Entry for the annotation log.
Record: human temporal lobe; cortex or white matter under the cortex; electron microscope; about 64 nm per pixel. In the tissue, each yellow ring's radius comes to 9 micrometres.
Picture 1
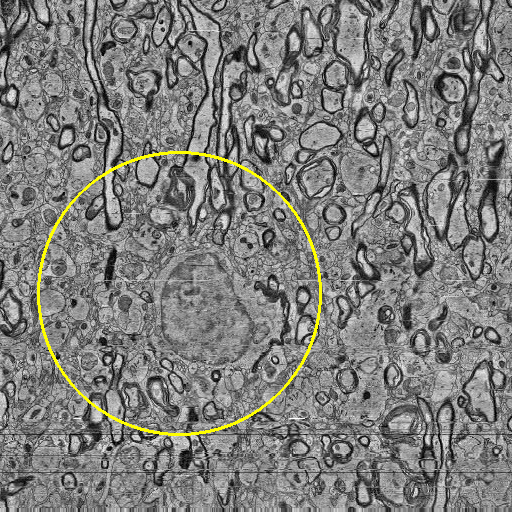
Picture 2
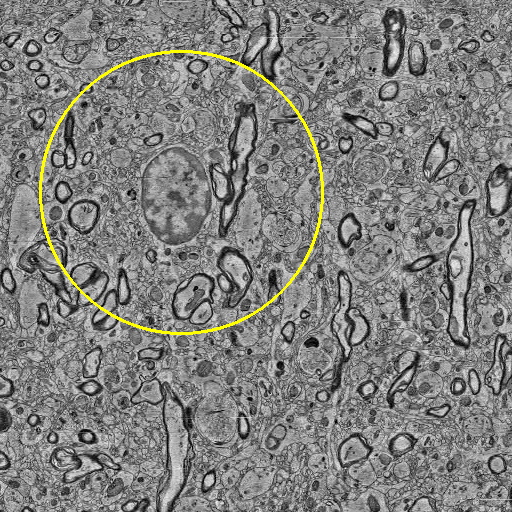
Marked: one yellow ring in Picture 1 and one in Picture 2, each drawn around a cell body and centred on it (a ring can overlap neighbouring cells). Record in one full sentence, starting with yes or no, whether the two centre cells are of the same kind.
No, the two cells are of two kinds.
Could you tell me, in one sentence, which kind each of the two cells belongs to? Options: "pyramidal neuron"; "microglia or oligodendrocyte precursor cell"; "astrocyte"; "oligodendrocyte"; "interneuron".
At the centre of the first ring sits an oligodendrocyte, and at the centre of the second sits a microglial cell or oligodendrocyte precursor cell.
